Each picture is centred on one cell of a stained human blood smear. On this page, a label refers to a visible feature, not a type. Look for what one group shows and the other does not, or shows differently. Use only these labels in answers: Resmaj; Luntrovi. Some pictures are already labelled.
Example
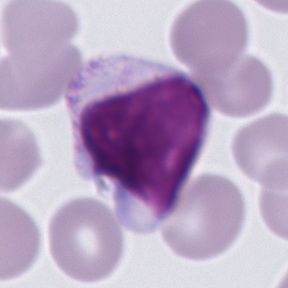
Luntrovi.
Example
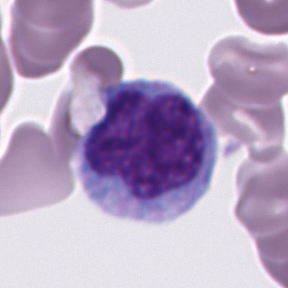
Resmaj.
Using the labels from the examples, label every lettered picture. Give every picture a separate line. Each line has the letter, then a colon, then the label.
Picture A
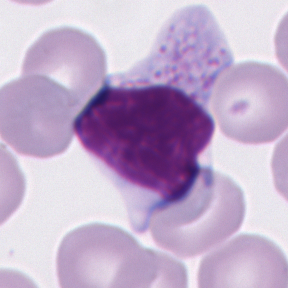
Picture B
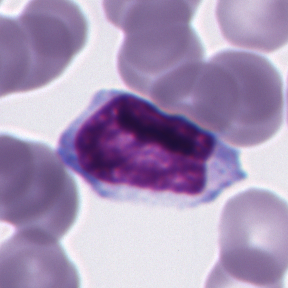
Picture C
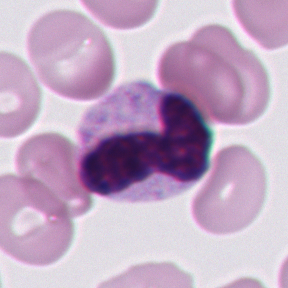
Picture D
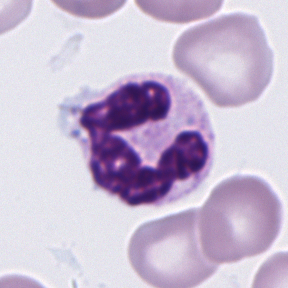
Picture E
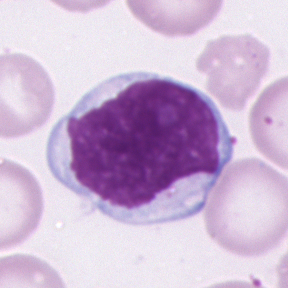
A: Luntrovi.
B: Luntrovi.
C: Resmaj.
D: Luntrovi.
E: Resmaj.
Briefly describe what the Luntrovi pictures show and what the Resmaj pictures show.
Seen in Luntrovi: ragged outline or projections; seen in Resmaj: smooth outline.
